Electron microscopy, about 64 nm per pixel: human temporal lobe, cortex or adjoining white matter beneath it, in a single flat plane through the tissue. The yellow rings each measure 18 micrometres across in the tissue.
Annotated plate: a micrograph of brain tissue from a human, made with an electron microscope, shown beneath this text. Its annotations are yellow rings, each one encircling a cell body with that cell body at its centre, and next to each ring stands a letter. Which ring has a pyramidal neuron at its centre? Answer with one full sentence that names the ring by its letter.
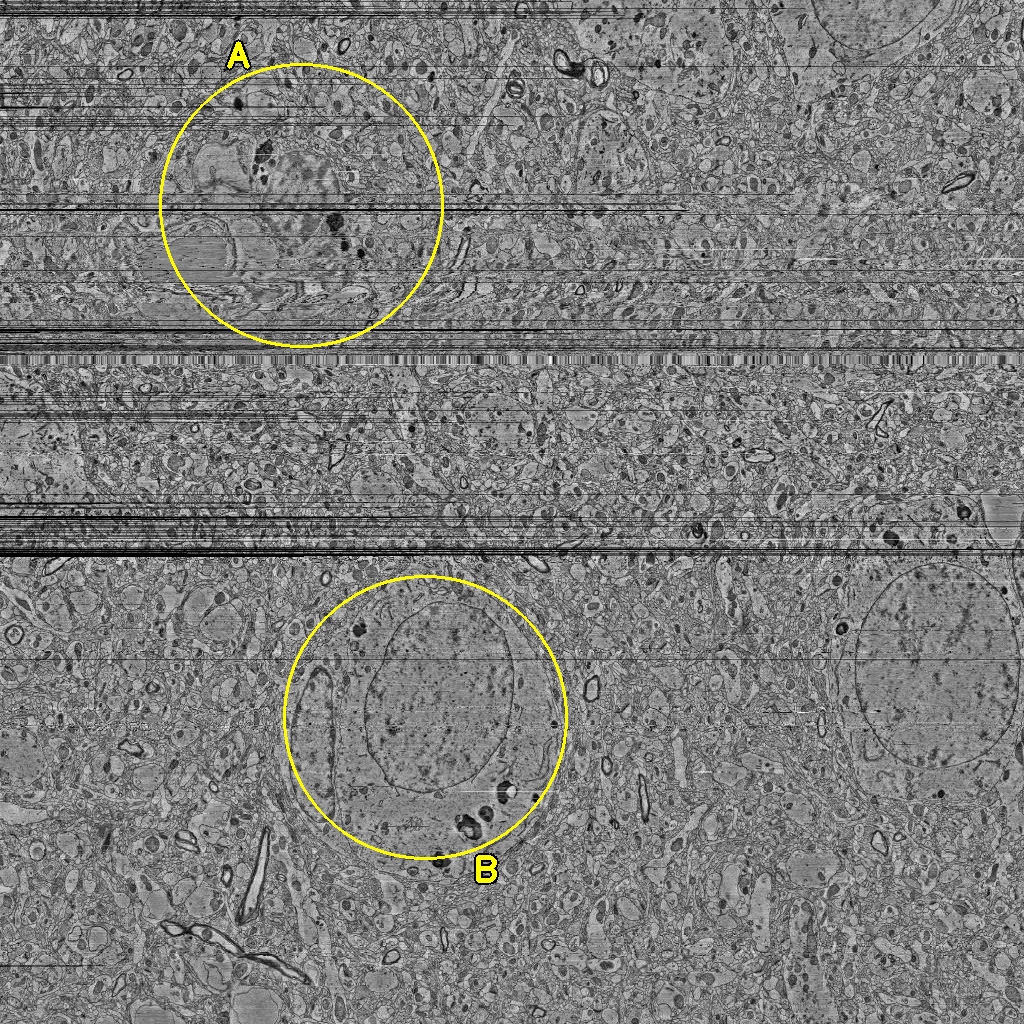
In the plate, ring B is the one centred on a cell of that kind.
